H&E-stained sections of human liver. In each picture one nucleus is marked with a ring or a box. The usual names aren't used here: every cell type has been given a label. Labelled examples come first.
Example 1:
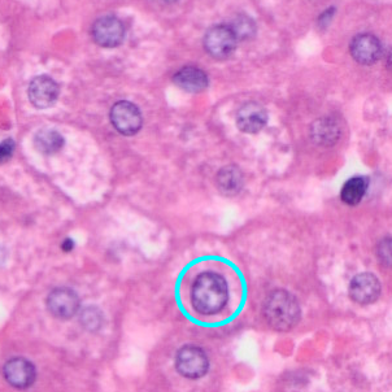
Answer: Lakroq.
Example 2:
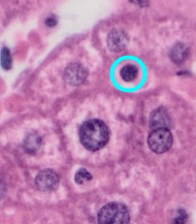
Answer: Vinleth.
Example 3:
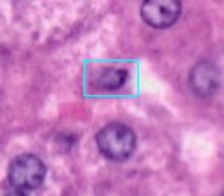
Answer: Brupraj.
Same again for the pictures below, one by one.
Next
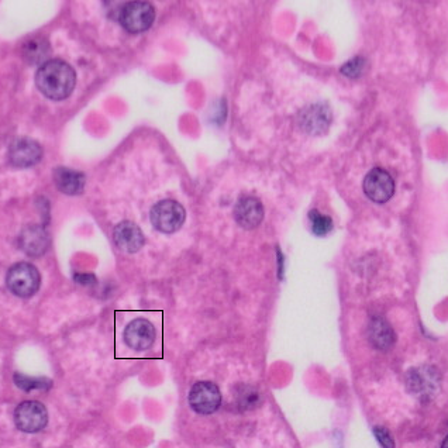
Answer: Lakroq.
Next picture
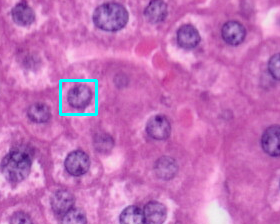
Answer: Lakroq.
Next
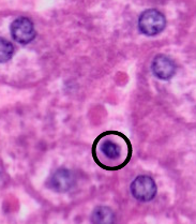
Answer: Vinleth.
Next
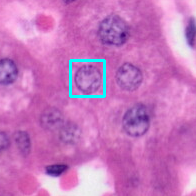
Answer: Lakroq.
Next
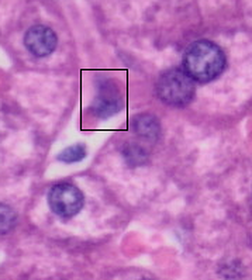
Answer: Brupraj.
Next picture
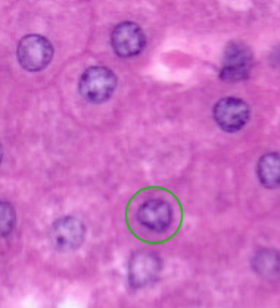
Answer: Lakroq.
